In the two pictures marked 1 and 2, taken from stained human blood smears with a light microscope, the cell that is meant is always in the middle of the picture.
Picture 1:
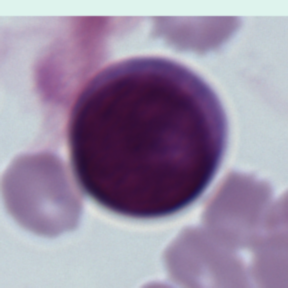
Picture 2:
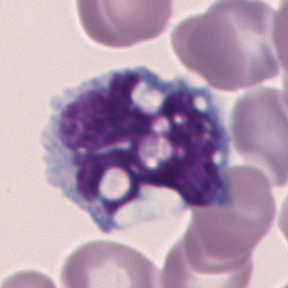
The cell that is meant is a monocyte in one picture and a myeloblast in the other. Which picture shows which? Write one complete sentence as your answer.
Picture 1 shows a myeloblast and picture 2 shows a monocyte.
